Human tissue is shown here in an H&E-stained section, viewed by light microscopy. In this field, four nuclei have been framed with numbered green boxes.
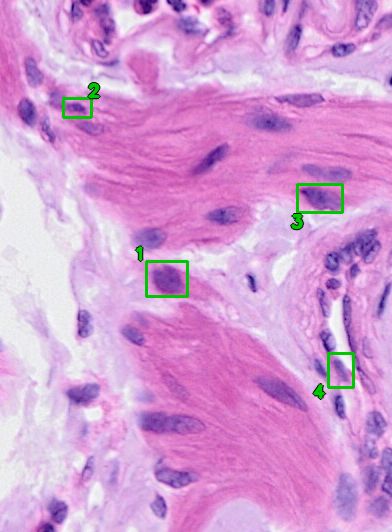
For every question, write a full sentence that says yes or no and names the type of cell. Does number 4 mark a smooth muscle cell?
No, cell number 4 is identified as an endothelial cell, not as a smooth muscle cell.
